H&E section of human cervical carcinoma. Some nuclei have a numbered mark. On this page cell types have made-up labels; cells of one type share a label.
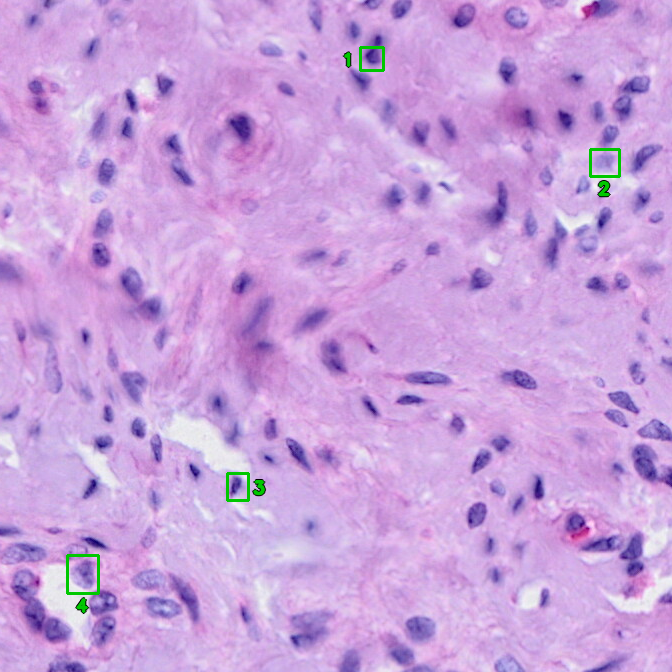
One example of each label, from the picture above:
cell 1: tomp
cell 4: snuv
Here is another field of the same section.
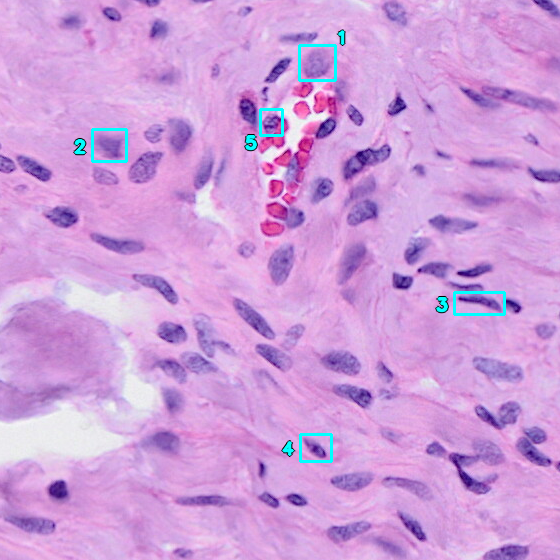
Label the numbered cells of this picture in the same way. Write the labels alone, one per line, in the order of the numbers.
snuv
tomp
tomp
tomp
snuv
